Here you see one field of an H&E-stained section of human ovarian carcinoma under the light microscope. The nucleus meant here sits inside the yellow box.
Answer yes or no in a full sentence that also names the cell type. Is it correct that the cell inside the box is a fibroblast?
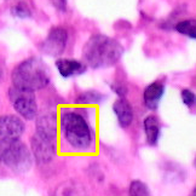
No, the cell inside the box is not to be called a fibroblast; it is a carcinoma cell.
